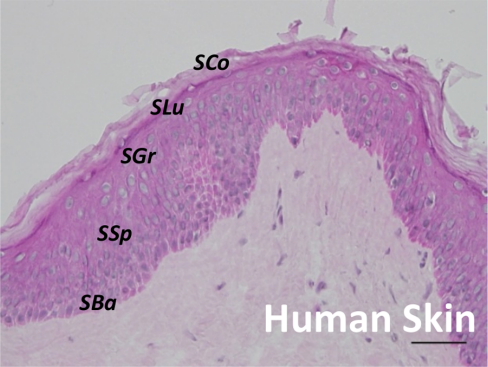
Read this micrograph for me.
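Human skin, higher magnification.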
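Small, crowded cells with dark nuclei lie along the base, larger polygonal cells with round nuclei fill the middle rows, and the cells flatten toward the surface, where thin anucleate pink layers peel away. Below, pale loose dermis with scattered nuclei rises as a projection into the underside of the epithelium.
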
